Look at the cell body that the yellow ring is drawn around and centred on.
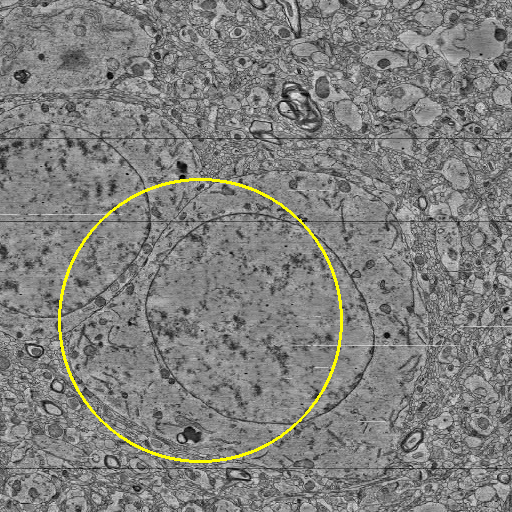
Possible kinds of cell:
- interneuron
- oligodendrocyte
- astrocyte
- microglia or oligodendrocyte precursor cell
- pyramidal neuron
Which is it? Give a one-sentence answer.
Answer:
The centred cell body is that of a pyramidal neuron.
